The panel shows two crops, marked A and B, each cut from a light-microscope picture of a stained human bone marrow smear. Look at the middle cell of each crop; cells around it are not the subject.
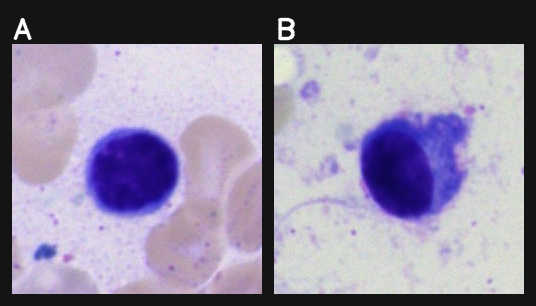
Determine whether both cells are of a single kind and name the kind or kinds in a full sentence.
No, crop A contains a lymphocyte; a plasma cell is what crop B contains.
